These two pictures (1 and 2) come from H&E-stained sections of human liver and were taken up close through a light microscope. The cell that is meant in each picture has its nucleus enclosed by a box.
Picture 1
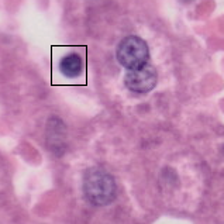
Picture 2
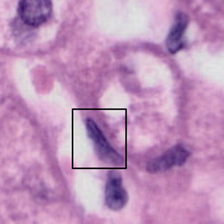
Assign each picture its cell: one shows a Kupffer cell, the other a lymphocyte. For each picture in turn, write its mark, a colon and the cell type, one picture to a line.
1: lymphocyte
2: Kupffer cell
